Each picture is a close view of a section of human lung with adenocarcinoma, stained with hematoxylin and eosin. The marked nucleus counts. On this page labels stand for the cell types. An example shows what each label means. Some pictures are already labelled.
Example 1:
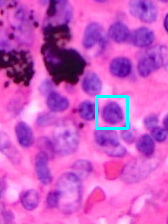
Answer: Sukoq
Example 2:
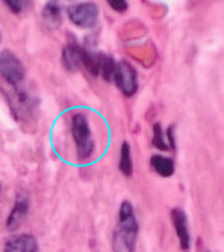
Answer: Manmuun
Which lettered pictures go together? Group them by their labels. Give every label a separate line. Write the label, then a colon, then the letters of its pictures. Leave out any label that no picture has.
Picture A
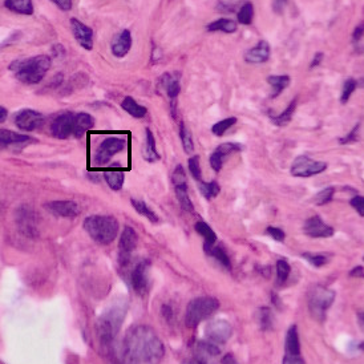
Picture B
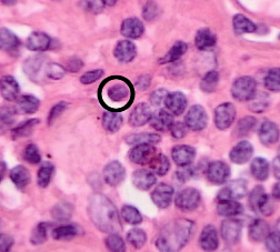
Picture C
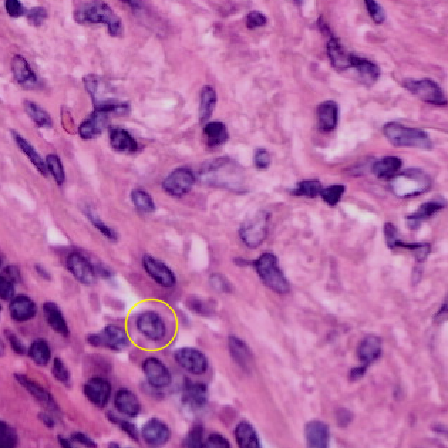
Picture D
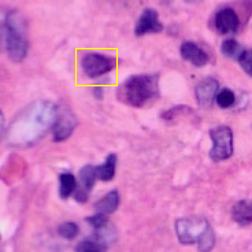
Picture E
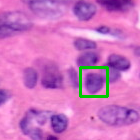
Sukoq: B, E
Manmuun: A, C, D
